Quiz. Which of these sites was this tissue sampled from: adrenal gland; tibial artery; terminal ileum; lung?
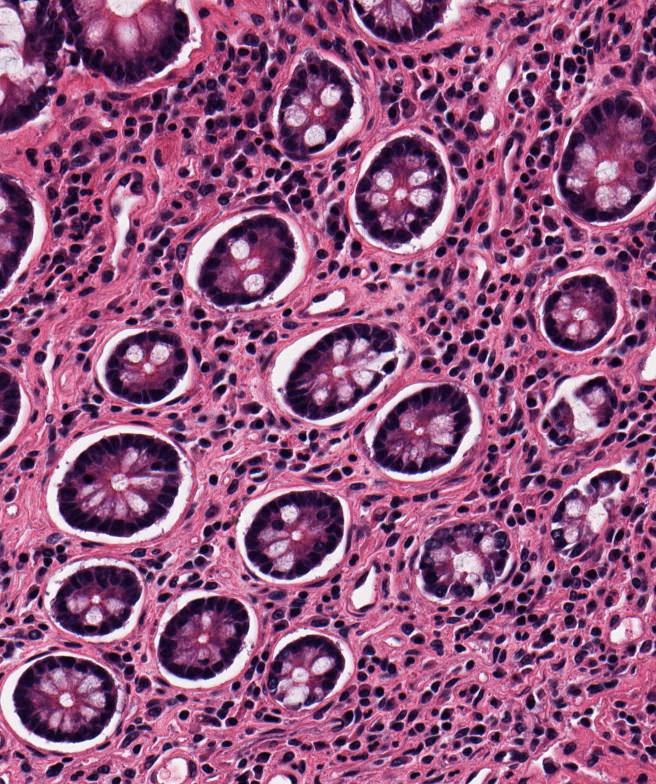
terminal ileum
